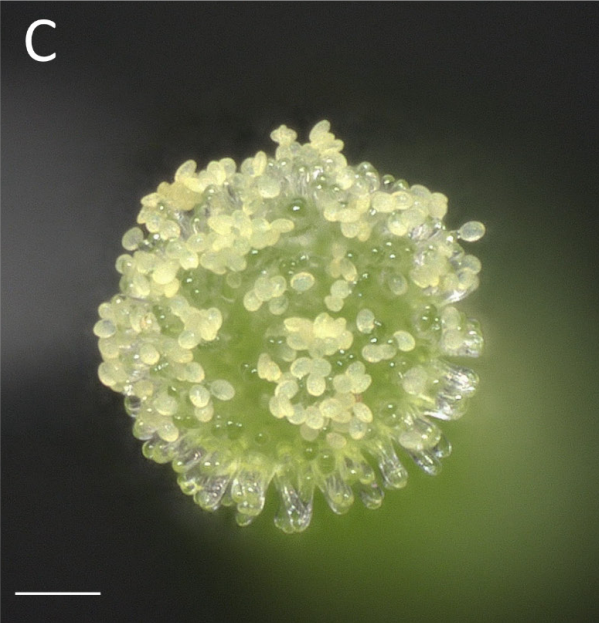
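This is the stigma of a flower seen from above, a rounded green head densely covered with pollen grains. Clear, glassy, finger-like projections radiate from it and are best seen at the lower rim. Many pale yellow pollen grains crowd over the upper part and centre, and they are plump and roundish rather than slender. The grains sit on and between the projections, leaving only patches of the green centre exposed.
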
